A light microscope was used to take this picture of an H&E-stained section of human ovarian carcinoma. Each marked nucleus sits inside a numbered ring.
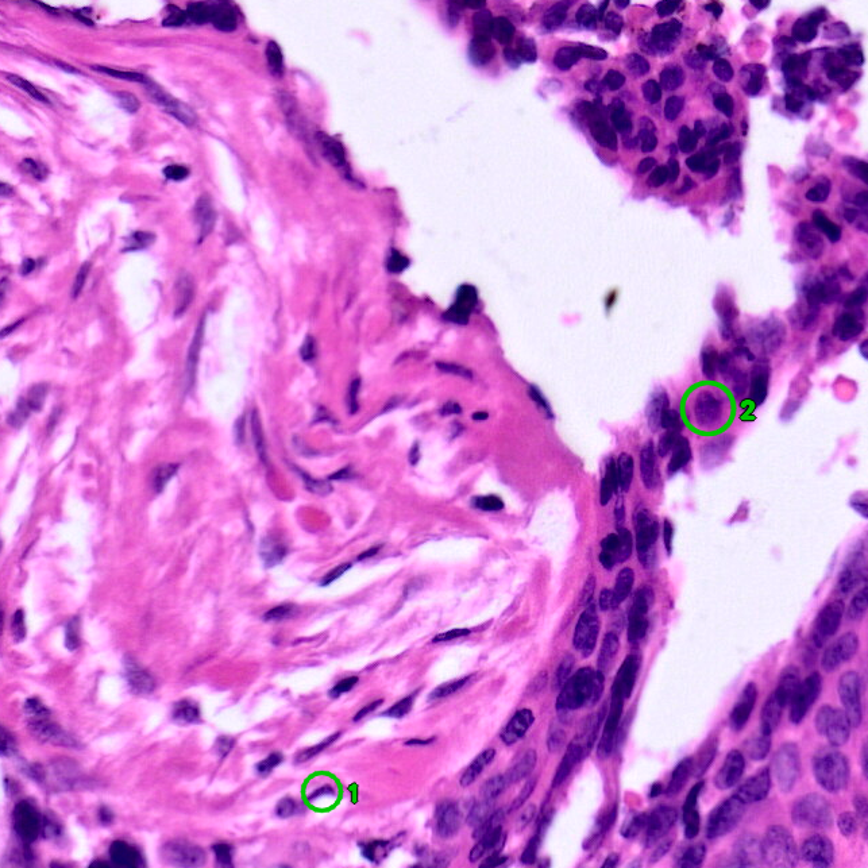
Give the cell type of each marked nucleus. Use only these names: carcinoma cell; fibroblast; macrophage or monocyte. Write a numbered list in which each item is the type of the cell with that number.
1. fibroblast
2. carcinoma cell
